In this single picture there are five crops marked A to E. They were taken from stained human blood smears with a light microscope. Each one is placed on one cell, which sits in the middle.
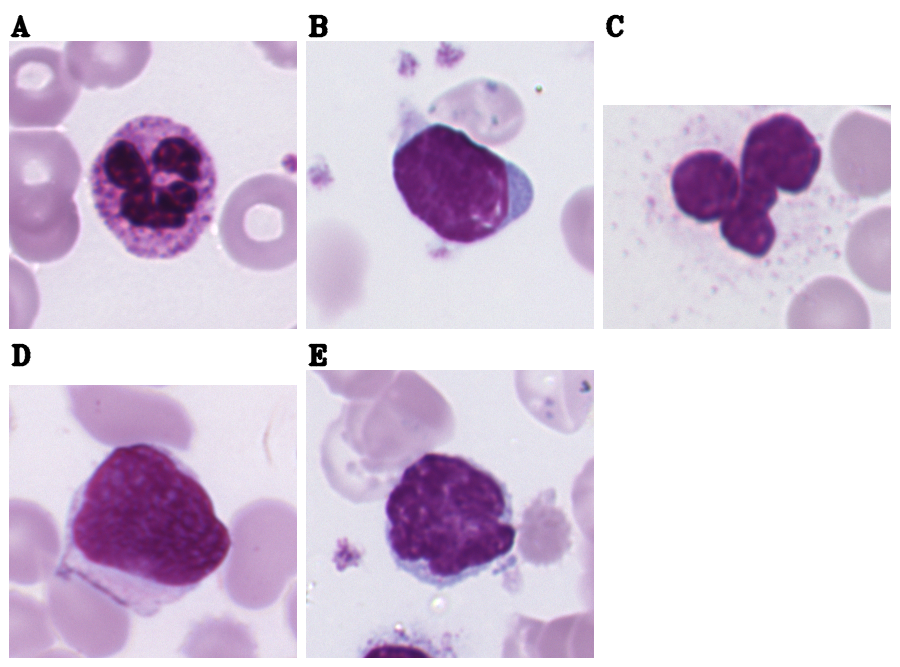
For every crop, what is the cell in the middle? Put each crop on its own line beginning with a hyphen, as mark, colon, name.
- A: segmented neutrophil
- B: typical lymphocyte
- C: smudge cell
- D: myeloblast
- E: typical lymphocyte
